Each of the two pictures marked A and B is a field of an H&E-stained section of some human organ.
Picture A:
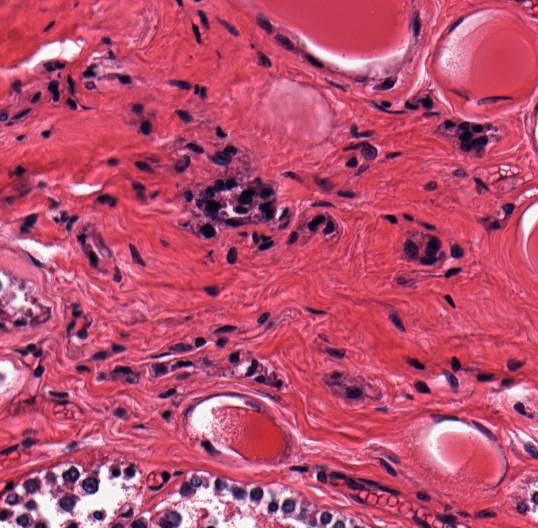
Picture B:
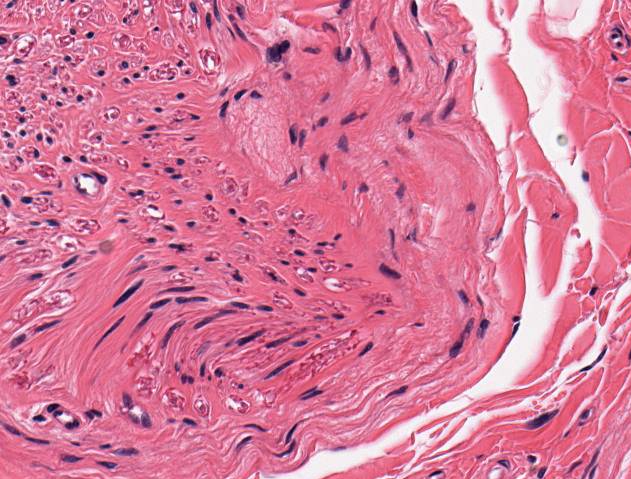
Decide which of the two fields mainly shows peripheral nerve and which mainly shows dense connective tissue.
A: dense connective tissue
B: peripheral nerve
